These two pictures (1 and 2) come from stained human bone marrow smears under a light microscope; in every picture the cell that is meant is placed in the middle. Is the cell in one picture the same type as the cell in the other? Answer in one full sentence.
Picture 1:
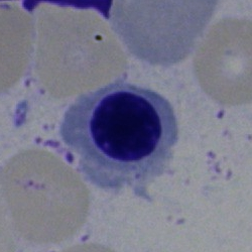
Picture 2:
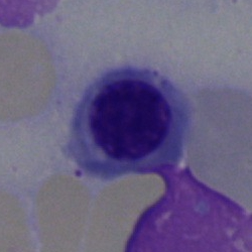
Yes, the two pictures both show erythroblasts.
